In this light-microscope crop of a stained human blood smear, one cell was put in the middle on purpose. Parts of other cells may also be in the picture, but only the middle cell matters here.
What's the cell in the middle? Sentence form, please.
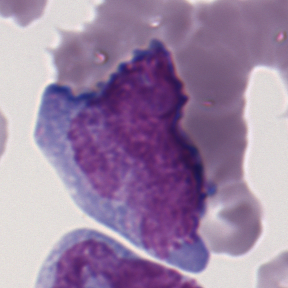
The cell centered in this field of view is a blast.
